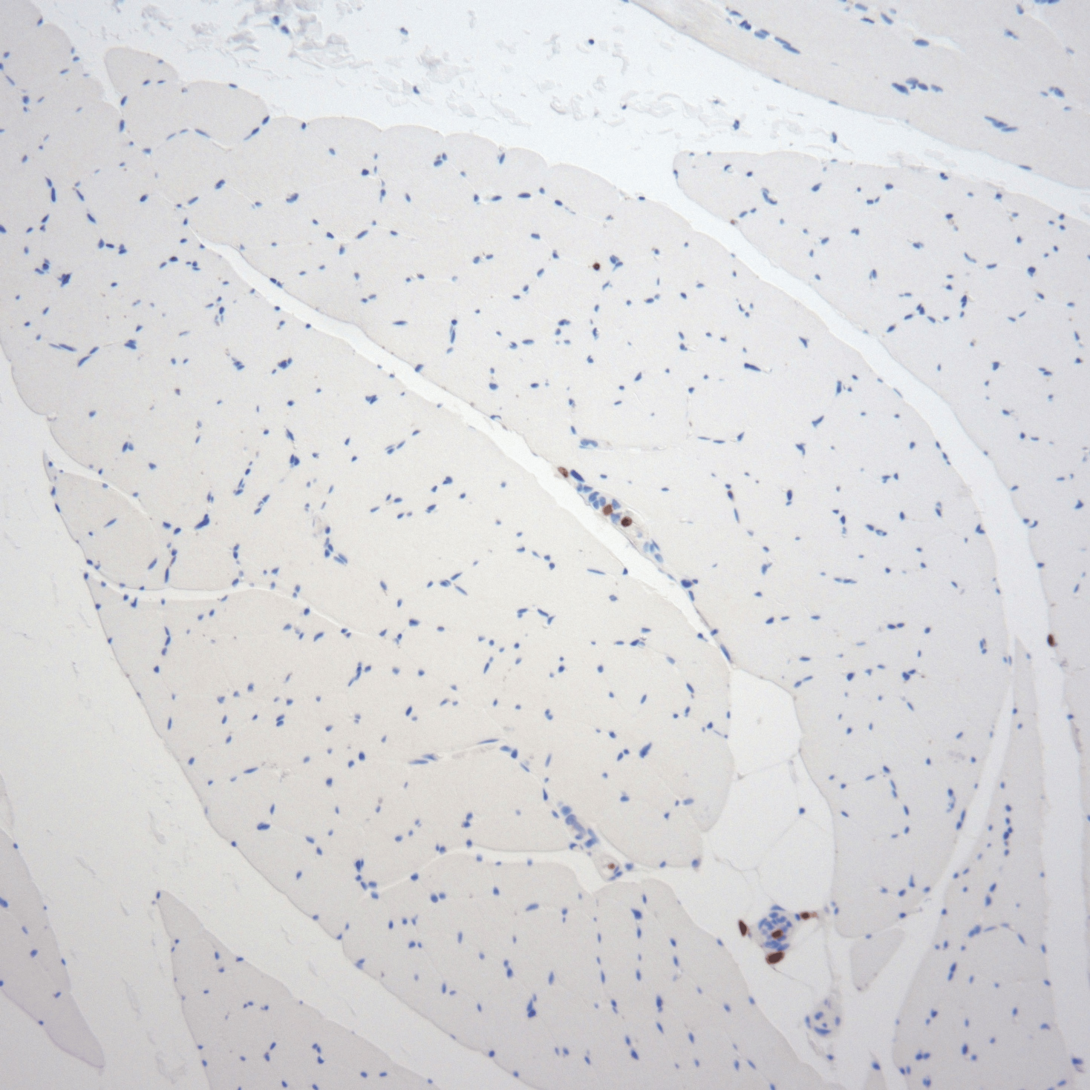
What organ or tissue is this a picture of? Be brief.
Skeletal muscle tissue.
